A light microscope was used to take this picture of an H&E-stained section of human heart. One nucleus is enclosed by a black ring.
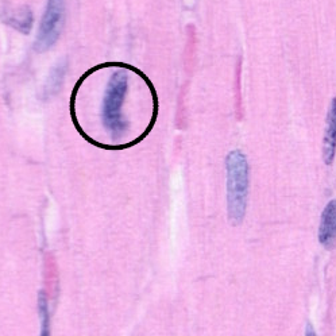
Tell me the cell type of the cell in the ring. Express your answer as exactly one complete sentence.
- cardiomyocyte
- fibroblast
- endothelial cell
Right, so the cell in the ring is an endothelial cell, to answer that.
